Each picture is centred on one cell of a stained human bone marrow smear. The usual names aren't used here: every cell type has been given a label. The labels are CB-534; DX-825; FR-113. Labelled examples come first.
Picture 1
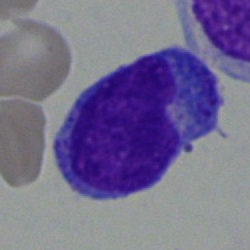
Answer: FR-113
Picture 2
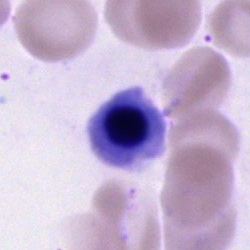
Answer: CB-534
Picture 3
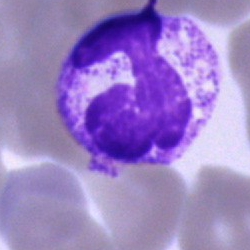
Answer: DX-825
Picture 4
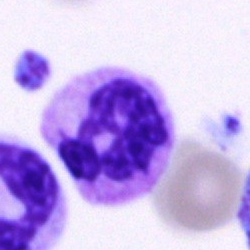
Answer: DX-825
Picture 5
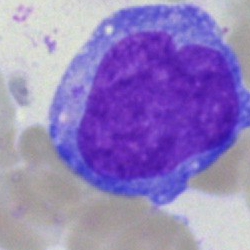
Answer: FR-113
